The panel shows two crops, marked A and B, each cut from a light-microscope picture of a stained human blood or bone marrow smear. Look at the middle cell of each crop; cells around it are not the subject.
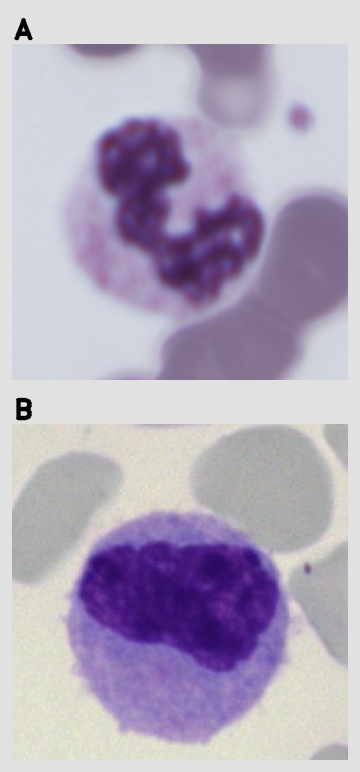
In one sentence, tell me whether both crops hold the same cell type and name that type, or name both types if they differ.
No, the middle of crop A shows a segmented neutrophil, and the middle of crop B shows a monocyte.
